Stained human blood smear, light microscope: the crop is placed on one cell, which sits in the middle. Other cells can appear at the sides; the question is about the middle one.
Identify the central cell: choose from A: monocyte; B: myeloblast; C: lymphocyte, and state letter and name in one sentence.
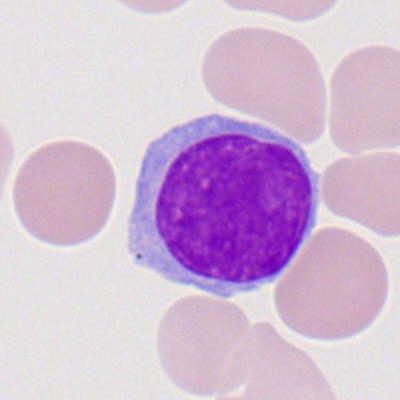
The cell in the middle is a lymphocyte, and so option C is correct.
